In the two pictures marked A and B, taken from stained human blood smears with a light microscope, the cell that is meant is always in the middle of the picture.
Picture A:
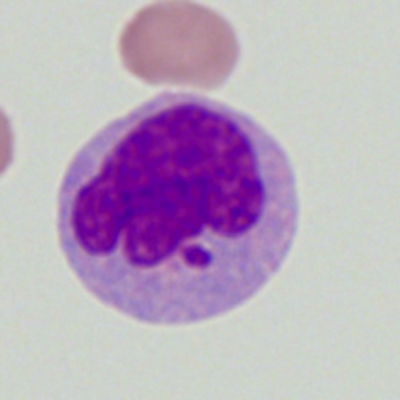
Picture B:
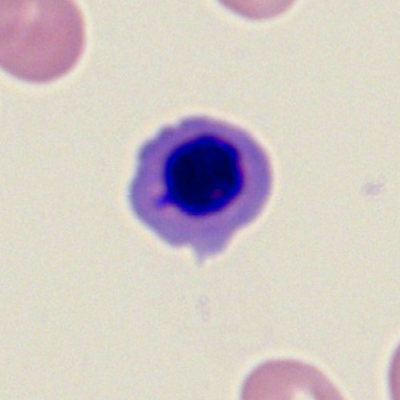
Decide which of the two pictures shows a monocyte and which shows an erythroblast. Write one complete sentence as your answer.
Picture A shows a monocyte and picture B shows an erythroblast.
